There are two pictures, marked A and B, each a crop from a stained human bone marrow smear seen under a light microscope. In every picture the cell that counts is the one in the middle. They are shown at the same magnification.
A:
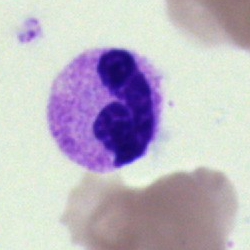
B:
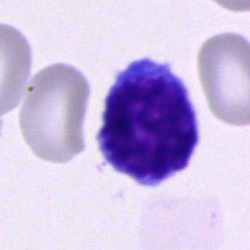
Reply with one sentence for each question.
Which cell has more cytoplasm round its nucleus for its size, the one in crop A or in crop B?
It is the cell in crop A that is filled less by its nucleus.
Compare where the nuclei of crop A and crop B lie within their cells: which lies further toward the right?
It is the nucleus in crop A that lies further toward the right of its cell.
